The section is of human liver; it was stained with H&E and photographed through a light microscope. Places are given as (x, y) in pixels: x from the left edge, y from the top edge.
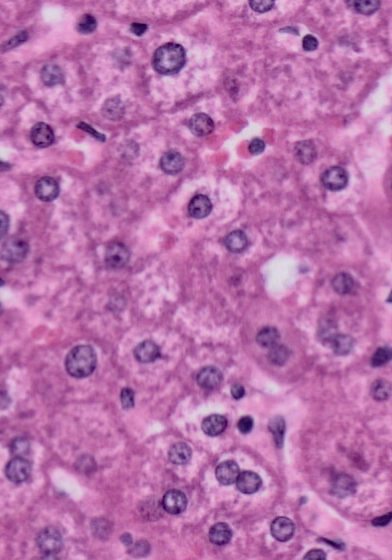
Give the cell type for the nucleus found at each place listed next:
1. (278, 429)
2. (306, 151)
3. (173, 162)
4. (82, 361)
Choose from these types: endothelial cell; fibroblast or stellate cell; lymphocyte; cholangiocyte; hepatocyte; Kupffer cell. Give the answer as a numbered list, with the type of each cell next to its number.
1. Kupffer cell
2. hepatocyte
3. hepatocyte
4. hepatocyte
